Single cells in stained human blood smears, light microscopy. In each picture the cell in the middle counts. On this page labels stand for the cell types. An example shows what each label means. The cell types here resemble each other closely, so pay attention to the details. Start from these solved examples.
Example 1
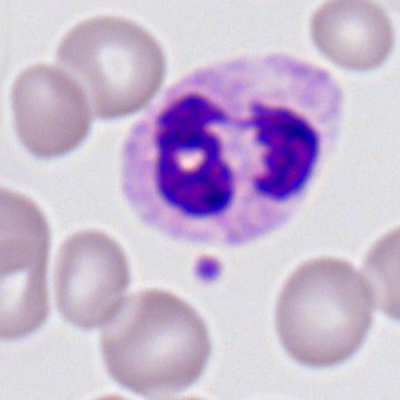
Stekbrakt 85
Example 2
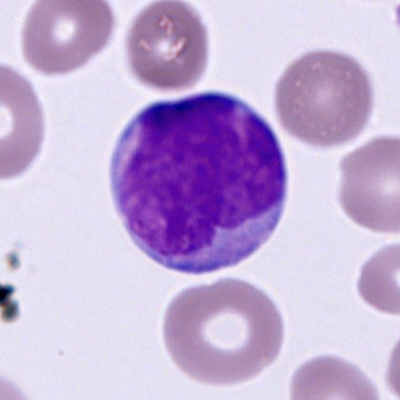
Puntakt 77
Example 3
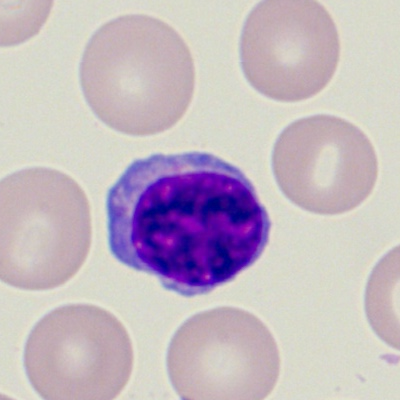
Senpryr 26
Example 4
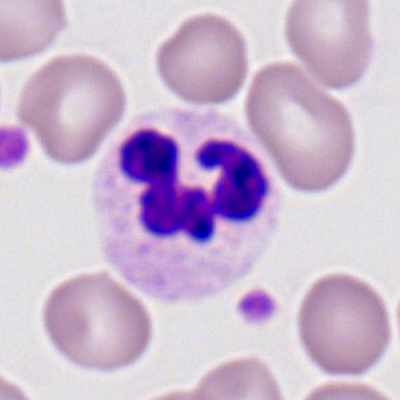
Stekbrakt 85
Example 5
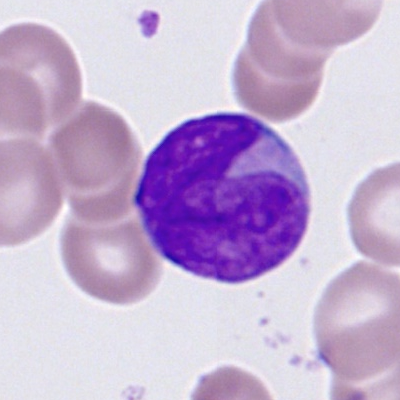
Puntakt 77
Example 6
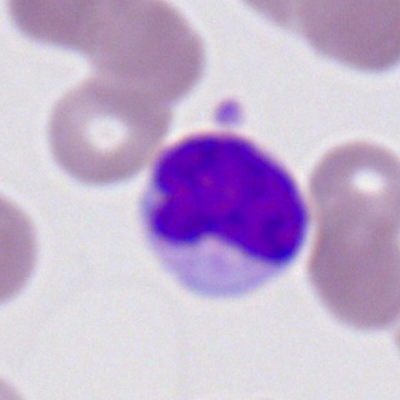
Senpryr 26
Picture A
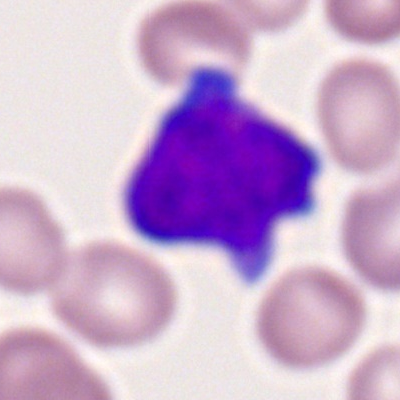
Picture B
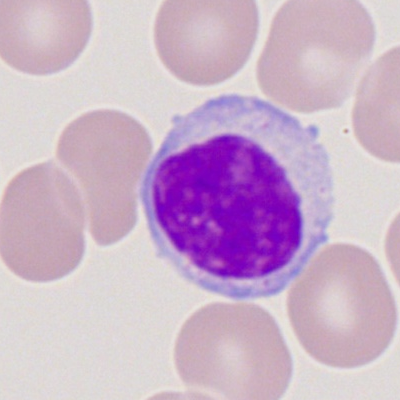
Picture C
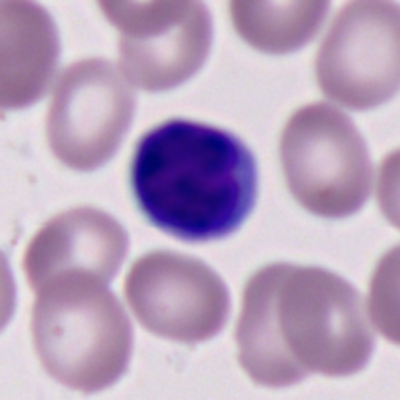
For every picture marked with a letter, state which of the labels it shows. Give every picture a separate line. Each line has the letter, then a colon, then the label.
A: Puntakt 77
B: Senpryr 26
C: Senpryr 26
